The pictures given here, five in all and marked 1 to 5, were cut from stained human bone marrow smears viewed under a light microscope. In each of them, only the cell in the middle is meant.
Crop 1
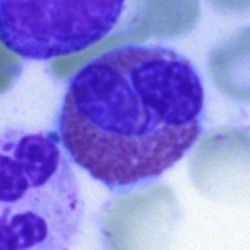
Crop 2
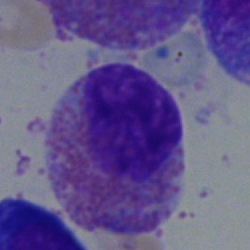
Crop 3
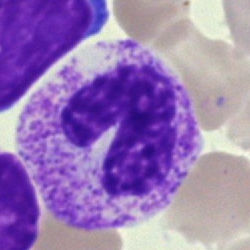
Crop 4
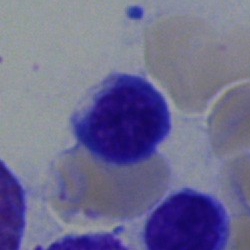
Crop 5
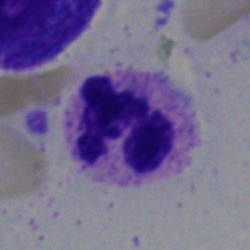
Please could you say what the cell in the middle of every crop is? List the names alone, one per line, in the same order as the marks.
eosinophil
eosinophil
band neutrophil
lymphocyte
segmented neutrophil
